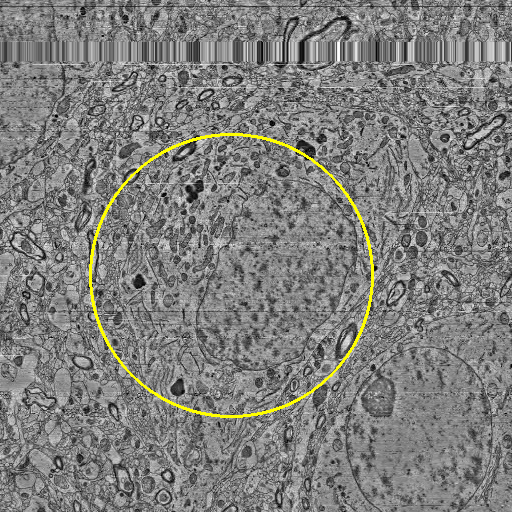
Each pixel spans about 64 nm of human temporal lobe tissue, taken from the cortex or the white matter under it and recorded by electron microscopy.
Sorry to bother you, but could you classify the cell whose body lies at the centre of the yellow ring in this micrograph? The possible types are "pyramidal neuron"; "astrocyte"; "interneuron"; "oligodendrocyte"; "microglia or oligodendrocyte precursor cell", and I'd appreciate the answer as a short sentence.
The ringed cell body is that of an interneuron.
